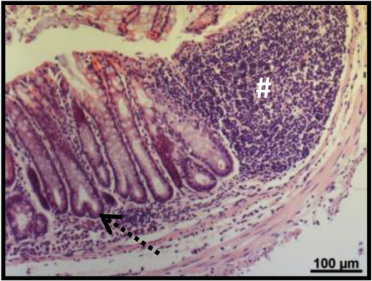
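Colon mucosa with elongated, closely packed crypts on the left, lined by epithelium with many pale goblet cells. A large, dense aggregate of small, dark-nucleated mononuclear cells fills the right part of the wall, bordered by pink muscle layers. At the mucosal base some crypts appear to branch.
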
